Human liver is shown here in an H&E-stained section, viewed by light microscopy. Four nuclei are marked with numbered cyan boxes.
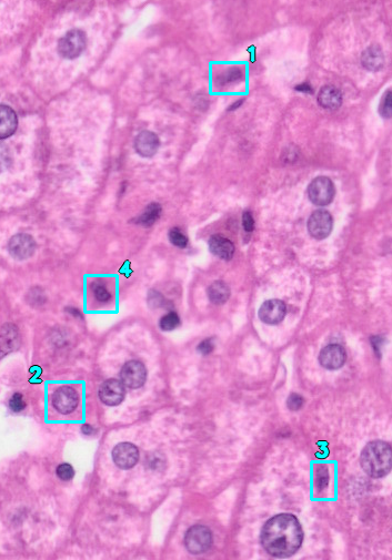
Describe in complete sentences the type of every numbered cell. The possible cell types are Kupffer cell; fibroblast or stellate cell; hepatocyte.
Cell 1 is a Kupffer cell, cell 2 is a hepatocyte, cell 3 is a Kupffer cell and cell 4 is a Kupffer cell.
